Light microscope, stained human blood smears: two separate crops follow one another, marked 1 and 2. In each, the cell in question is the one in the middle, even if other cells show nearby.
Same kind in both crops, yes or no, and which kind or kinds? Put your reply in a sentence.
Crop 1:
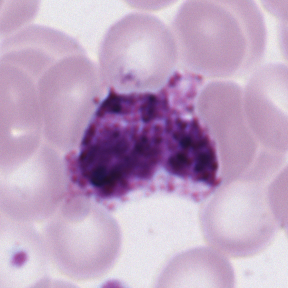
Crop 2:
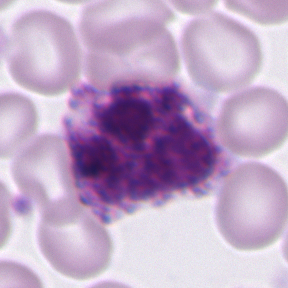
Yes, the cells placed at the centre of both crops are basophils.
